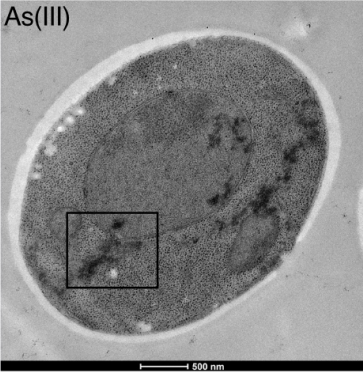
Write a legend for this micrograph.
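This electron micrograph shows a section through a yeast cell, with a thick pale cell wall around an oval cell body filled with finely granular cytoplasm. A large, rounded, slightly paler nucleus occupies much of the cell and is bounded by a thin membrane. Small pale vacuole-like spaces sit near the cell periphery.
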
